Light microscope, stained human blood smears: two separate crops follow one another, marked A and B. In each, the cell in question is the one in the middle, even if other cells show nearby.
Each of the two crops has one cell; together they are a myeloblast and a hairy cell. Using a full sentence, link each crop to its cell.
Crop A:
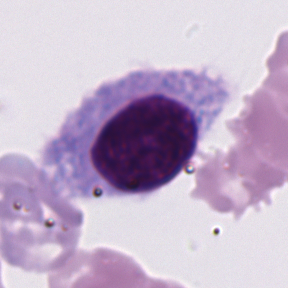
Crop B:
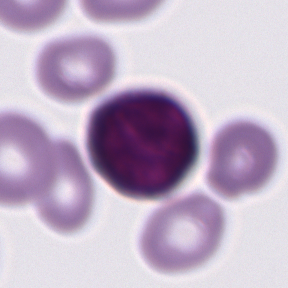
The cell that crop A centres on is a hairy cell, and the cell that crop B centres on is a myeloblast.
